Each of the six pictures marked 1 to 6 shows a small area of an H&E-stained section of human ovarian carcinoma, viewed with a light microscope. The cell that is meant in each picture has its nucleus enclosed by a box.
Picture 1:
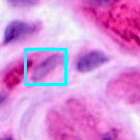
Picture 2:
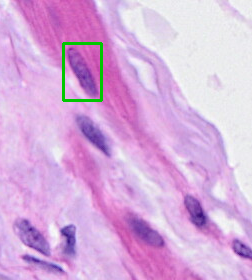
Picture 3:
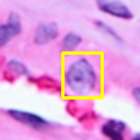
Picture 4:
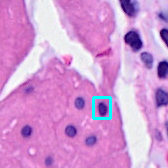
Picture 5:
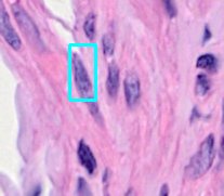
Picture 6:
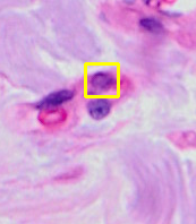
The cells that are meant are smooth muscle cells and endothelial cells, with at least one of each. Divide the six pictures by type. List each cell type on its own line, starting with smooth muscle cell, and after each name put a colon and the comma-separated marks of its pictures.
smooth muscle cell: 2, 4, 5
endothelial cell: 1, 3, 6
